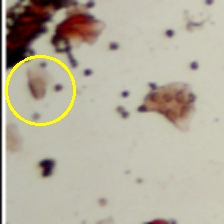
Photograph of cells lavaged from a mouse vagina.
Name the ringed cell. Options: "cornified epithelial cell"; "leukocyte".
cornified epithelial cell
